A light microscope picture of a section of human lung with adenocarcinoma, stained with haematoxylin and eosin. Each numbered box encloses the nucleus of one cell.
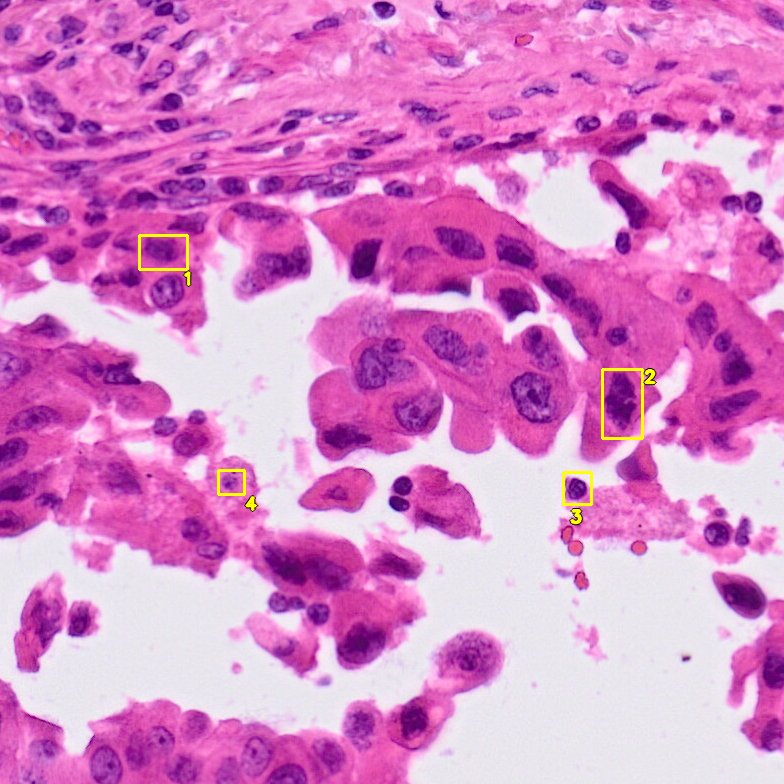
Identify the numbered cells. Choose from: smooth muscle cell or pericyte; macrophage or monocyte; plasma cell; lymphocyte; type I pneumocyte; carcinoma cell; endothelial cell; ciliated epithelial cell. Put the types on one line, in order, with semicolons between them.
carcinoma cell; carcinoma cell; lymphocyte; macrophage or monocyte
